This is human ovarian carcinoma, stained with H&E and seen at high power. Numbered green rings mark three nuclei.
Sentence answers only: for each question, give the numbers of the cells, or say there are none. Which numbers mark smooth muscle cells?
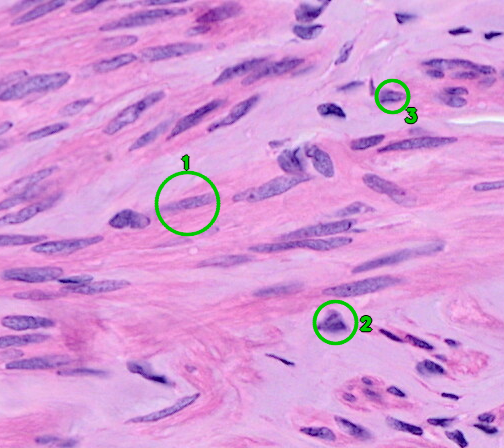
The cells with the numbers 1 and 3 are smooth muscle cells.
